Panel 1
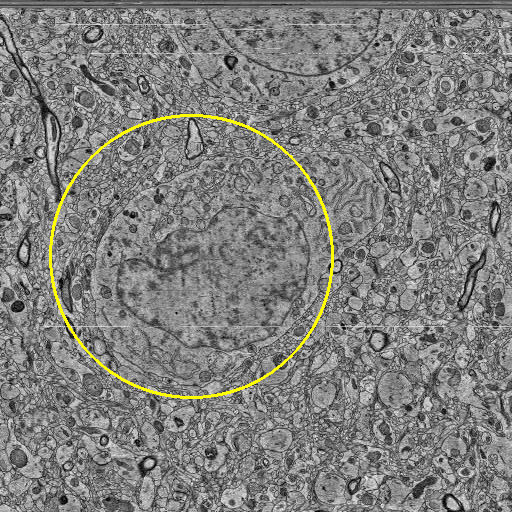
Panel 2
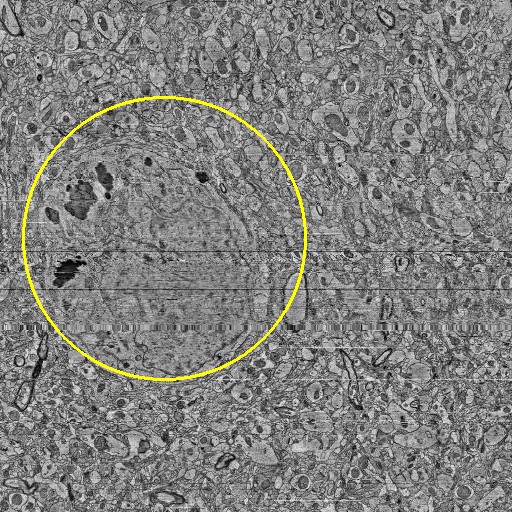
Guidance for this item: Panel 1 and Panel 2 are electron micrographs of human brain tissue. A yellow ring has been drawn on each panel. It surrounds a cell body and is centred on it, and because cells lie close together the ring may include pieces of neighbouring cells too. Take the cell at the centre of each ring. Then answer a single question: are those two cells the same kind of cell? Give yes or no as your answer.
yes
